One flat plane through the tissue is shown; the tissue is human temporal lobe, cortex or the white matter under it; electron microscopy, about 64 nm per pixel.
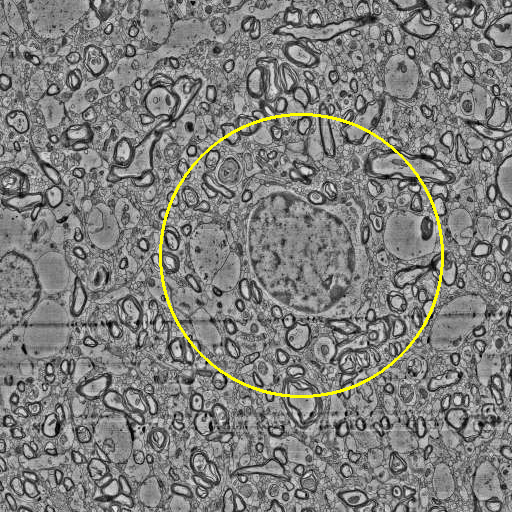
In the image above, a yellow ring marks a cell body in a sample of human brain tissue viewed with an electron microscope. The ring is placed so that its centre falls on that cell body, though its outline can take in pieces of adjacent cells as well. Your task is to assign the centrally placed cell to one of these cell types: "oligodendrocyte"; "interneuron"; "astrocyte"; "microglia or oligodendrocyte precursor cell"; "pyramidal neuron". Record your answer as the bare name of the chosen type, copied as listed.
microglia or oligodendrocyte precursor cell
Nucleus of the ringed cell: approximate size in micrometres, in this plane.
Roughly 8 by 6 micrometres in this plane, for the nucleus of the ringed cell.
